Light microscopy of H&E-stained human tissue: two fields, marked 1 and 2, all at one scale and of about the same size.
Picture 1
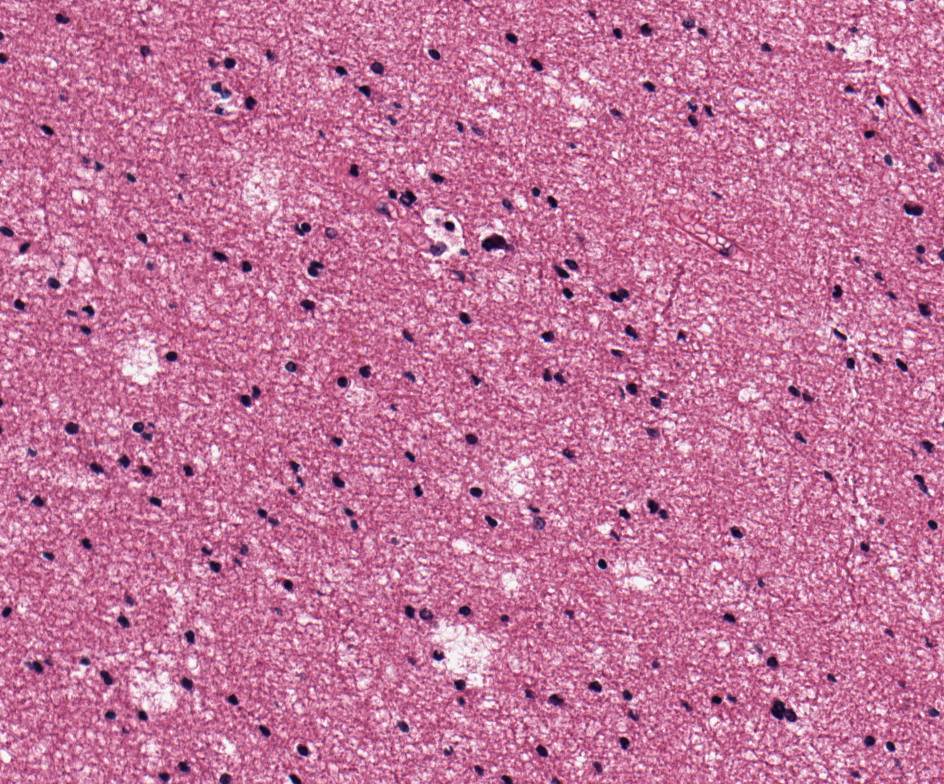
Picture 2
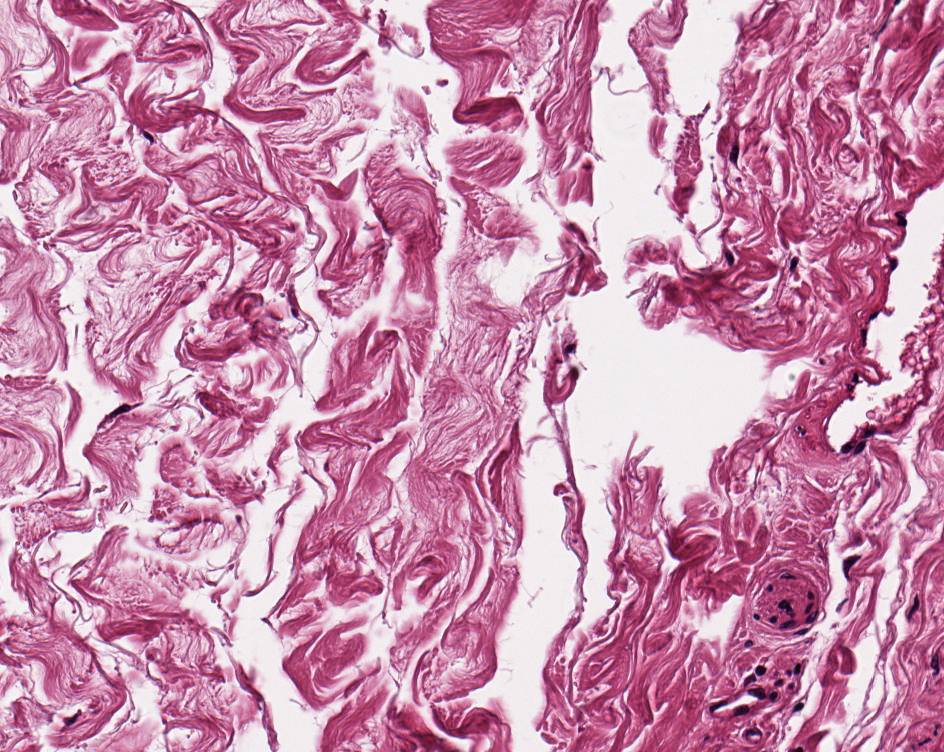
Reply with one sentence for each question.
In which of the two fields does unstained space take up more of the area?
Unstained space takes up more of picture 2 than of picture 1.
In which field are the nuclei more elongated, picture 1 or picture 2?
Longer, more slender nuclei lie in picture 2.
